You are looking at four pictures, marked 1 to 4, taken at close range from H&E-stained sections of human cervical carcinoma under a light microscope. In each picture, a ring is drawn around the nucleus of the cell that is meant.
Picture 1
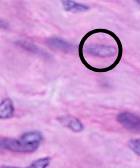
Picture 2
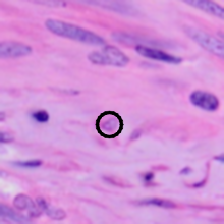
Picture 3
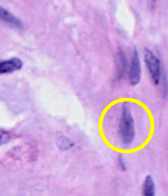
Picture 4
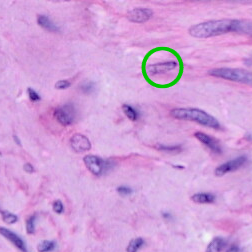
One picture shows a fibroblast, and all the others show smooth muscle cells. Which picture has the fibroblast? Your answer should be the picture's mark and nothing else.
3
